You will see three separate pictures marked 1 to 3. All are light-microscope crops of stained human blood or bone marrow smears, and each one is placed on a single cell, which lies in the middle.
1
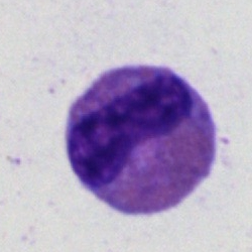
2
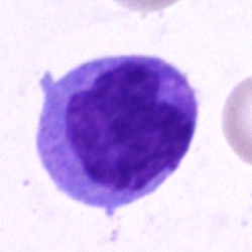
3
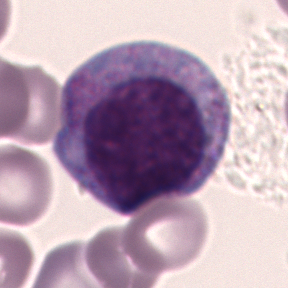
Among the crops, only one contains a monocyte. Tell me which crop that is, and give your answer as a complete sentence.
It is the cell in crop 2 that is a monocyte.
